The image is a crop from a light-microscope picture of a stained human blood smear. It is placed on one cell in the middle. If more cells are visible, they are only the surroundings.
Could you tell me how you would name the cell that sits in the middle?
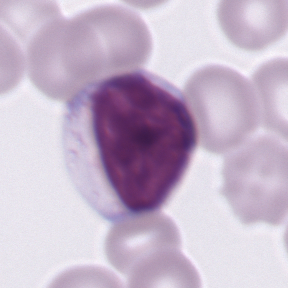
large granular lymphocyte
